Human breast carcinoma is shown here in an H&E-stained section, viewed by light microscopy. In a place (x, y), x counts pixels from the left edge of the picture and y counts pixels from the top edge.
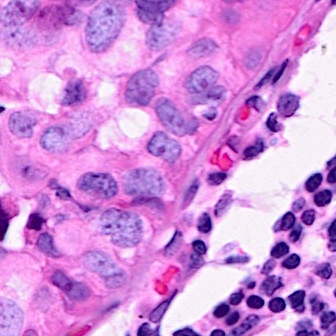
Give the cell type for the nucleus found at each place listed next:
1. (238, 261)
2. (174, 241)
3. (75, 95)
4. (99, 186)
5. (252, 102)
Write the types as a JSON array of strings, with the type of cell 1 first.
["lymphocyte", "endothelial cell", "carcinoma cell", "carcinoma cell", "endothelial cell"]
